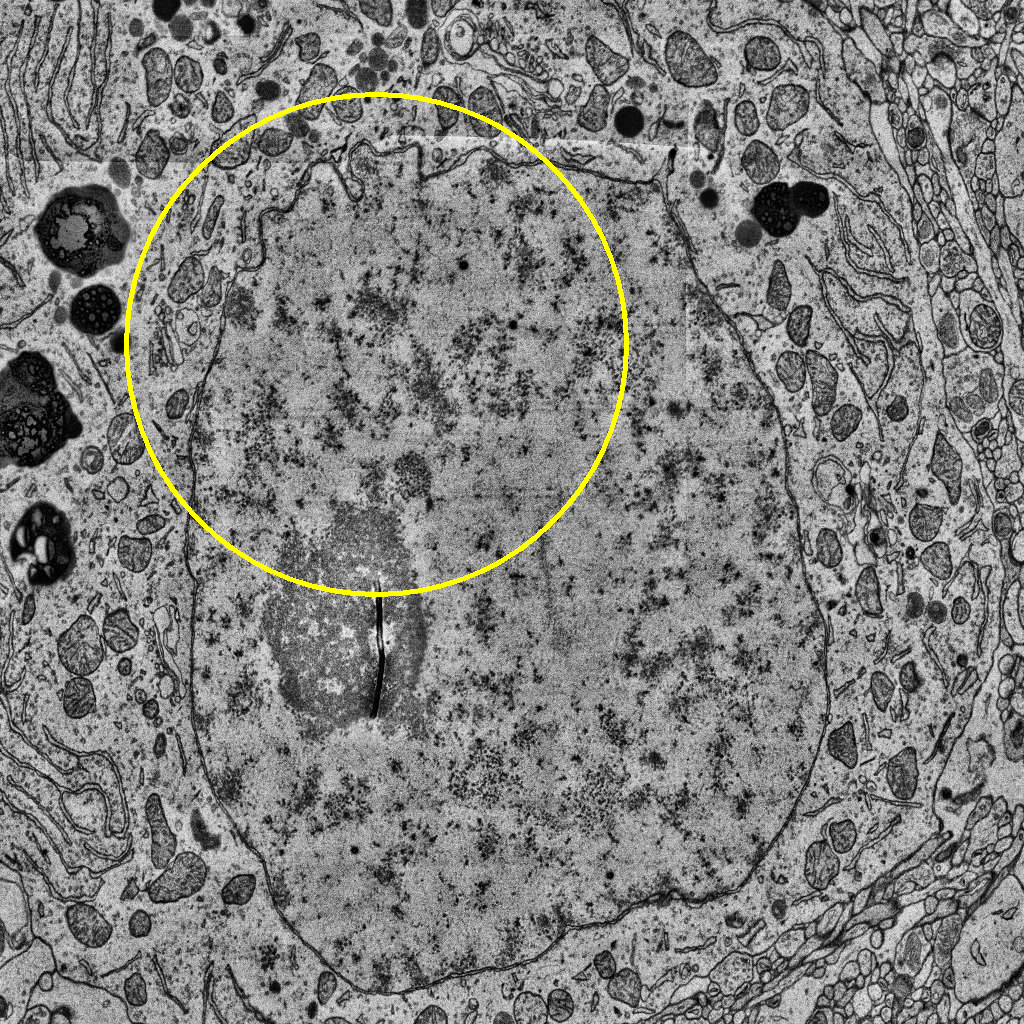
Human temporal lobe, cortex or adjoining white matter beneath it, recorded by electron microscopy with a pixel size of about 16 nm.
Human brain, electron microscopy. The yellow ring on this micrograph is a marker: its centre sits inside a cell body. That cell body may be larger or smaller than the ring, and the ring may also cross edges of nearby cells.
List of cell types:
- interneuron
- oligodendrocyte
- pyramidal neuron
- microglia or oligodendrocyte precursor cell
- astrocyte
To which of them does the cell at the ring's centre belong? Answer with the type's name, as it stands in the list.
interneuron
